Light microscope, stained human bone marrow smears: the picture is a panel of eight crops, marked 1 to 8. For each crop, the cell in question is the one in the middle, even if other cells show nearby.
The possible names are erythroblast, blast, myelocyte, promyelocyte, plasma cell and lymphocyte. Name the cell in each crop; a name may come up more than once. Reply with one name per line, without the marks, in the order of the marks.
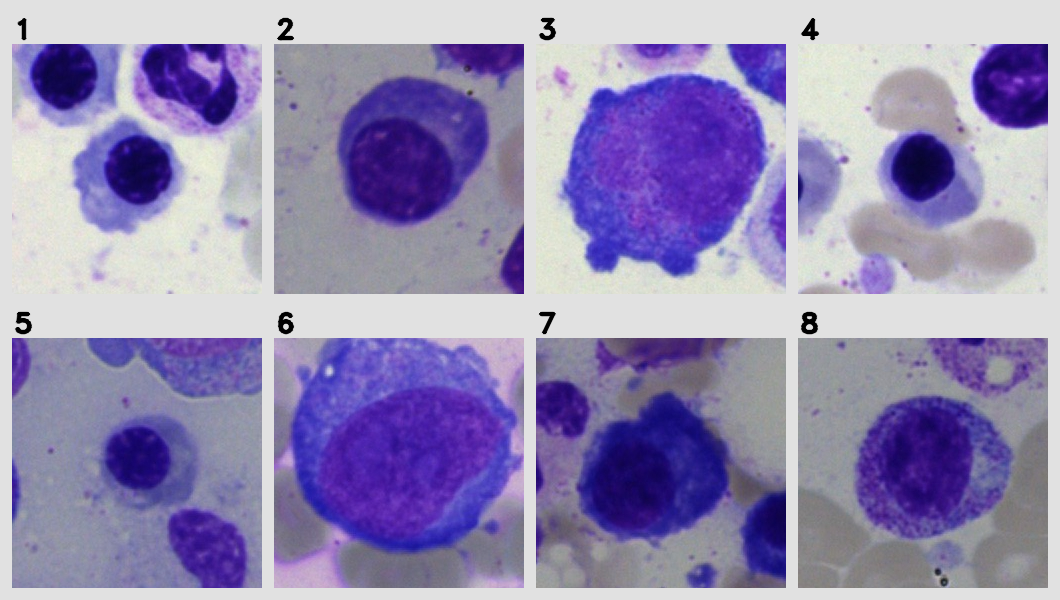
erythroblast
plasma cell
promyelocyte
erythroblast
erythroblast
blast
plasma cell
myelocyte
